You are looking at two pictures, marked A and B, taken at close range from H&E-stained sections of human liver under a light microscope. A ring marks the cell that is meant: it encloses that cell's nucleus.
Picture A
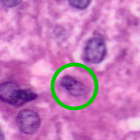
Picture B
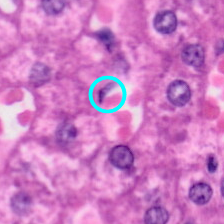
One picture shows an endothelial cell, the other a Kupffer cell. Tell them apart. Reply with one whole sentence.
The cell in picture A is a Kupffer cell, and the one in picture B is an endothelial cell.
